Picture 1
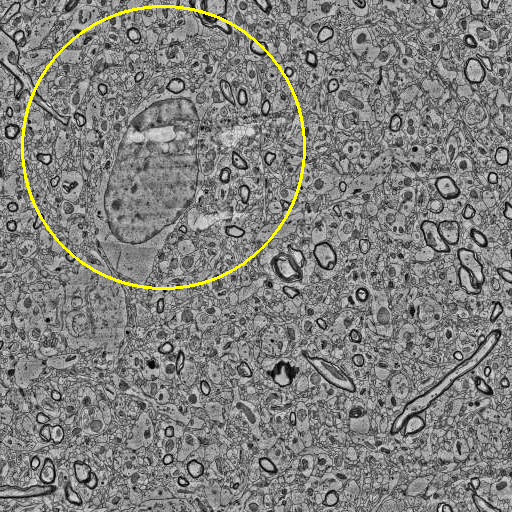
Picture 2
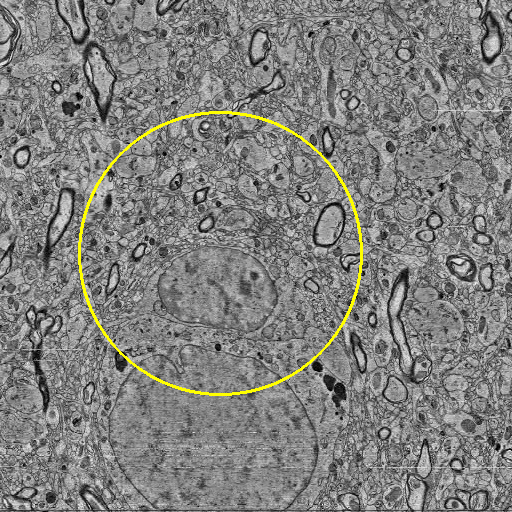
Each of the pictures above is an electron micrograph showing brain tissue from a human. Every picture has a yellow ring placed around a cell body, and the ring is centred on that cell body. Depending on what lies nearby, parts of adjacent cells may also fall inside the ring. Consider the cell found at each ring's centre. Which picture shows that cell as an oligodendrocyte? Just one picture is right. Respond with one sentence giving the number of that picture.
The picture showing the wanted cell at the ring's centre is number 2.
